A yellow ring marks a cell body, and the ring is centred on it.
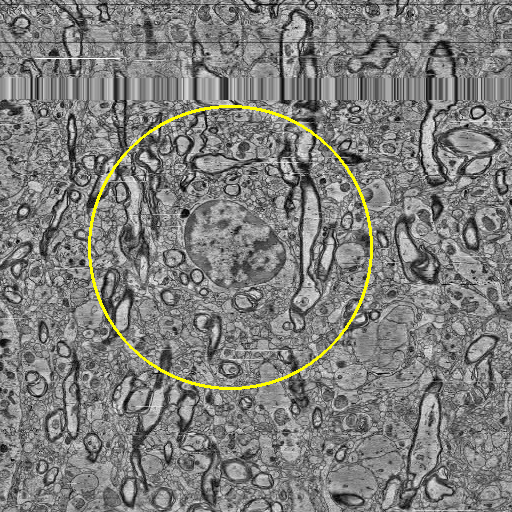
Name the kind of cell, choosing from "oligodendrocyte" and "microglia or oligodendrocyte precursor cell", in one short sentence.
The marked cell body belongs to a microglial cell or oligodendrocyte precursor cell.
